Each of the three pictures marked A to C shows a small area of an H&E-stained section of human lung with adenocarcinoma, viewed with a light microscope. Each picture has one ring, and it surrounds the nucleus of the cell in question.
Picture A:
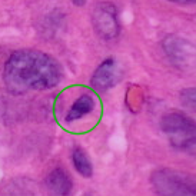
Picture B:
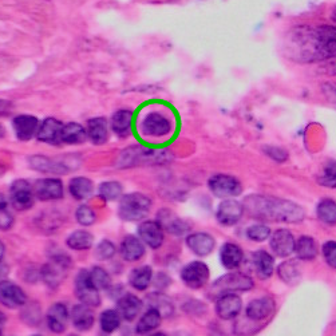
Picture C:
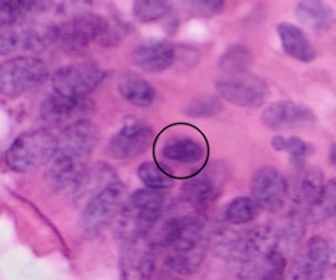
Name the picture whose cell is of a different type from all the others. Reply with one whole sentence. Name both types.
All pictures except C show lymphocytes; picture C shows a ciliated epithelial cell.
